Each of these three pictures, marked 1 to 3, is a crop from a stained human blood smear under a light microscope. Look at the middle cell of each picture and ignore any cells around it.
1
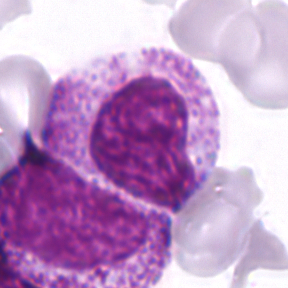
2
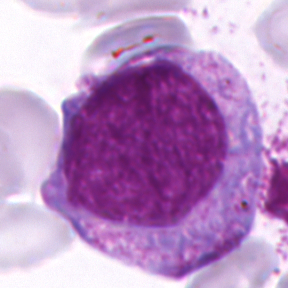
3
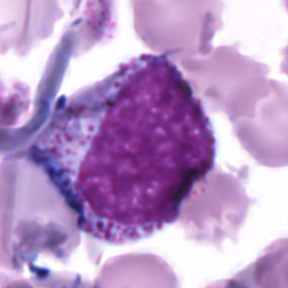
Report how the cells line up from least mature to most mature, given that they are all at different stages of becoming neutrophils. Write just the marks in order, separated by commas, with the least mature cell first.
2, 3, 1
